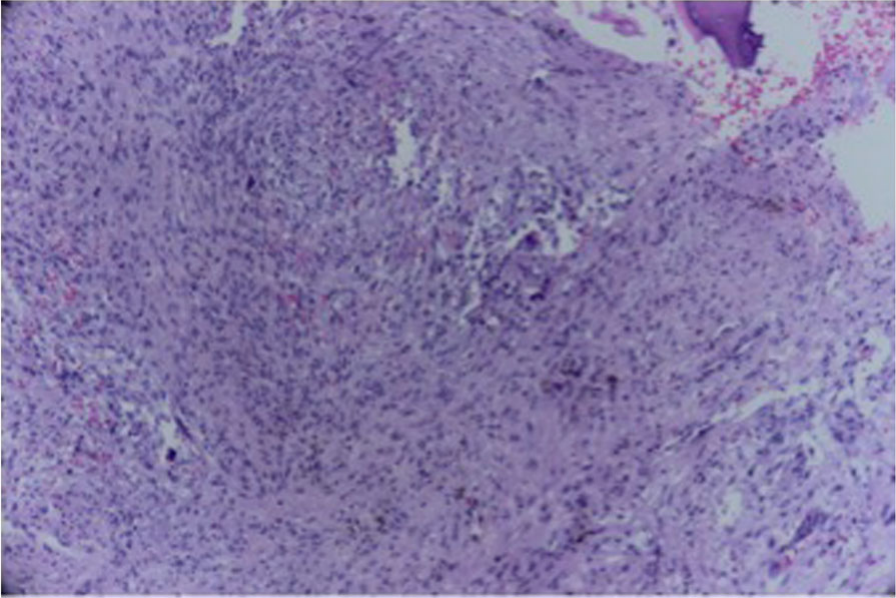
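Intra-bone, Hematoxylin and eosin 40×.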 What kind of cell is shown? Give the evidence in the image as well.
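Oval spindle cells. Densely packed cells with elongated to oval purple nuclei fill most of the field. The nuclei lie in streaming, intersecting bundles within a pink stroma.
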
